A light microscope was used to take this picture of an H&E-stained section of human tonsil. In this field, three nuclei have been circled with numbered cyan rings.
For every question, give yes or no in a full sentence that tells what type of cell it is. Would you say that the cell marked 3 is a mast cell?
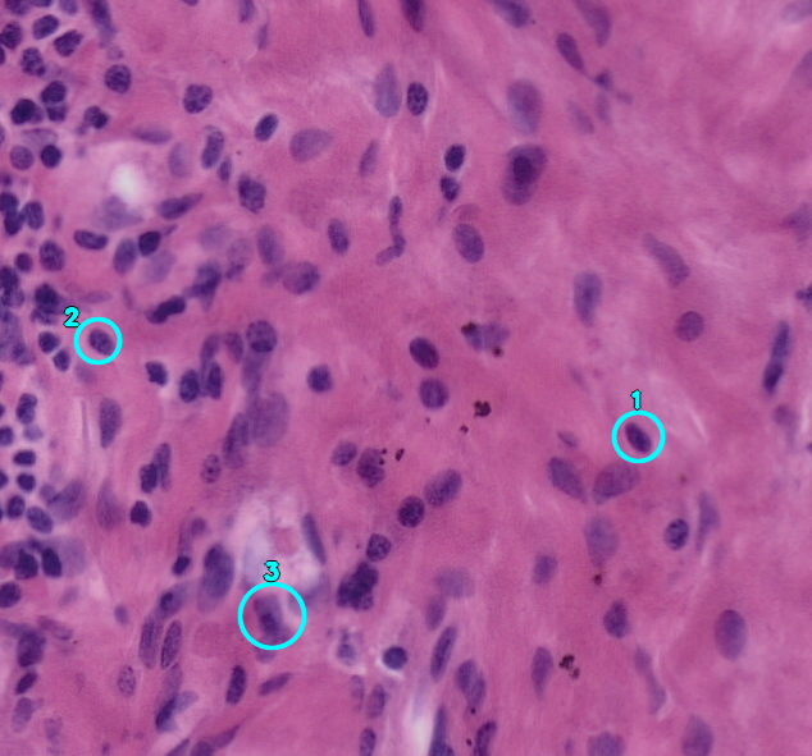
No, it is an endothelial cell, rather than a mast cell, that carries number 3.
